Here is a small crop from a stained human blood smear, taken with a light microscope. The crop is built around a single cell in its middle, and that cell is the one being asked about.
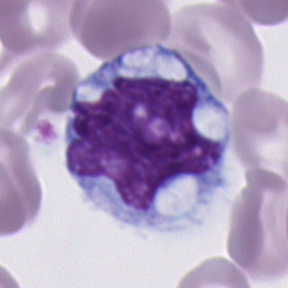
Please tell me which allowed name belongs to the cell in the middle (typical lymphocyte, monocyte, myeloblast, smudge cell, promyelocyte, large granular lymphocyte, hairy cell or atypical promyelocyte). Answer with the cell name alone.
monocyte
